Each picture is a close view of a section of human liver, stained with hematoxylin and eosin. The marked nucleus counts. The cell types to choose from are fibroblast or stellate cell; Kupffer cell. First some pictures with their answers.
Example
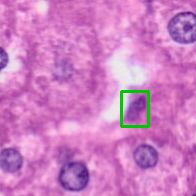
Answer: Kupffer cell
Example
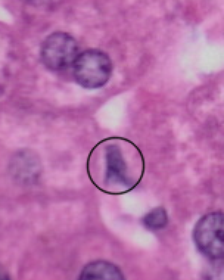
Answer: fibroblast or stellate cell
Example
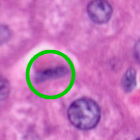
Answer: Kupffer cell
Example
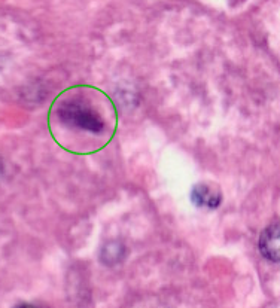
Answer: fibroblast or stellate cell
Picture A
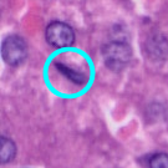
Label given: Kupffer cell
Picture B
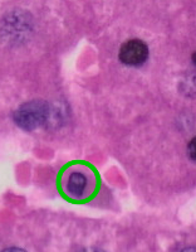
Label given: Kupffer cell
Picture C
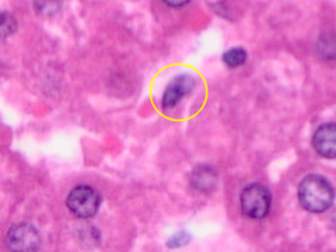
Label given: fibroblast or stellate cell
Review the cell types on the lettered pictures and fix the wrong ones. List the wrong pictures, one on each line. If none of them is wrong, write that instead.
A should be fibroblast or stellate cell, not Kupffer cell
C should be Kupffer cell, not fibroblast or stellate cell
